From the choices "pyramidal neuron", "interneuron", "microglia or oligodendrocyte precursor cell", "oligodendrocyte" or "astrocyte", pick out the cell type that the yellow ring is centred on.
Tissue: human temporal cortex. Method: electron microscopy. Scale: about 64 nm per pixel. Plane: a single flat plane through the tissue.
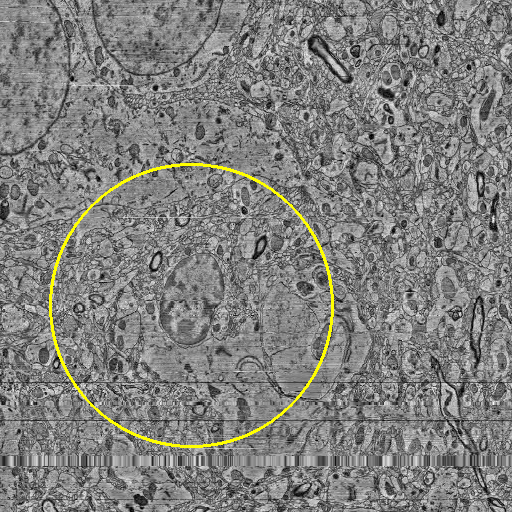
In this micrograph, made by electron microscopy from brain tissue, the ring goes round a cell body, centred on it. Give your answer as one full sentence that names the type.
The yellow ring is centred on a microglial cell or oligodendrocyte precursor cell, whose cell body it encircles in the picture.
